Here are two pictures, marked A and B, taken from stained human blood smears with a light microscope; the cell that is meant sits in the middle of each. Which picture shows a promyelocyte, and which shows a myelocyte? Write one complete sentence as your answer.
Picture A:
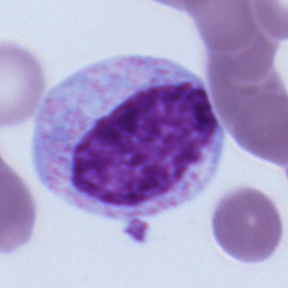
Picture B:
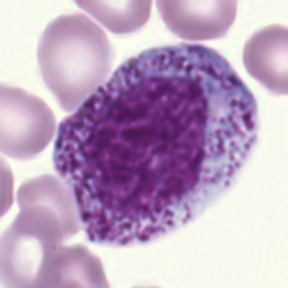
In picture A the cell is a myelocyte; in picture B, a promyelocyte.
